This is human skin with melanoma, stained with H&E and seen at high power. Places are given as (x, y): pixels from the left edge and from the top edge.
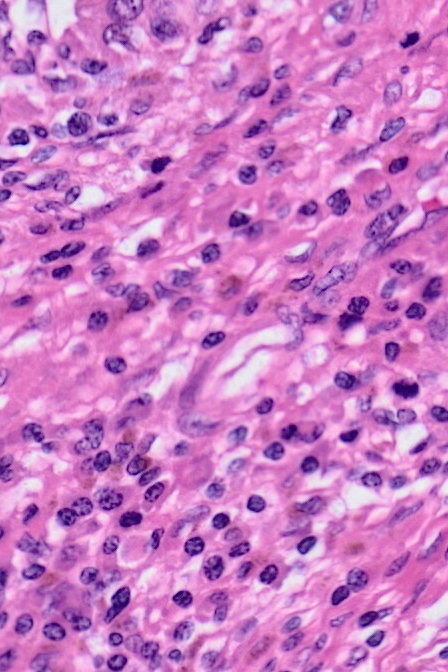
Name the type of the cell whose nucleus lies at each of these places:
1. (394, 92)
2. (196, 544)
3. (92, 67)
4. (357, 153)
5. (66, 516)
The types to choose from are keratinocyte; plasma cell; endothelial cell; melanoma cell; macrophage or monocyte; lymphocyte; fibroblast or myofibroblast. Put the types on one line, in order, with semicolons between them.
endothelial cell; plasma cell; lymphocyte; fibroblast or myofibroblast; plasma cell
